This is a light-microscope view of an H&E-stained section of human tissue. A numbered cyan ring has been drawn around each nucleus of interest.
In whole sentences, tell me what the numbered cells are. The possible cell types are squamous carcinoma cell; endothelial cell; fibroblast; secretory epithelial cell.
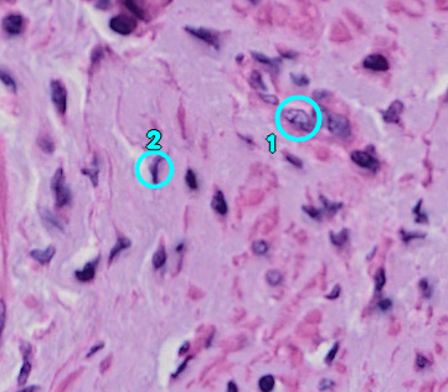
Cell 1 is an endothelial cell. Cell 2 is a fibroblast.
